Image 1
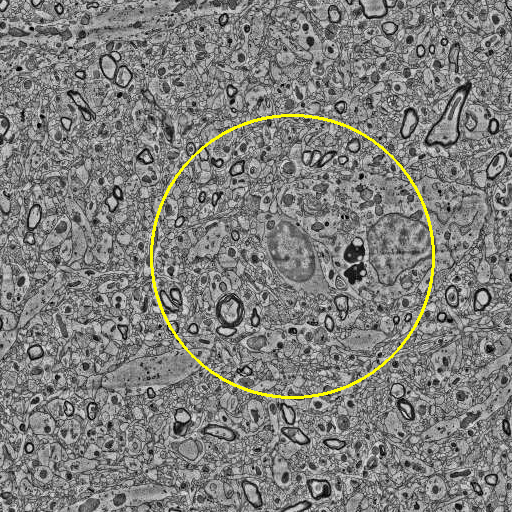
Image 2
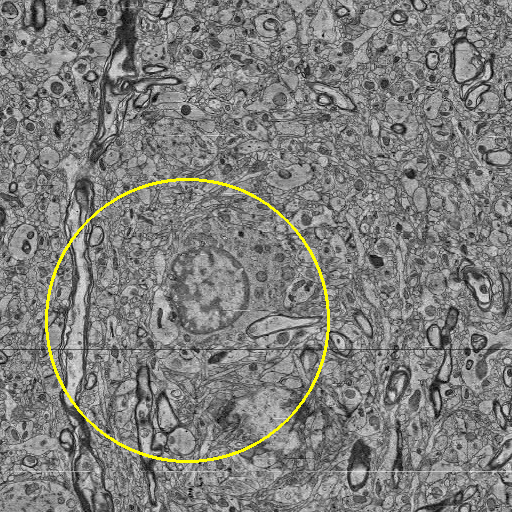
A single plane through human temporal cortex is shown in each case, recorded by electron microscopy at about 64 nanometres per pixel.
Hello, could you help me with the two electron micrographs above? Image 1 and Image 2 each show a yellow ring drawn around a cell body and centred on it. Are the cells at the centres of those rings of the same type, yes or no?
yes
